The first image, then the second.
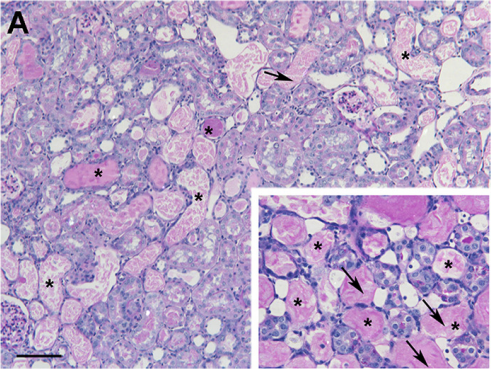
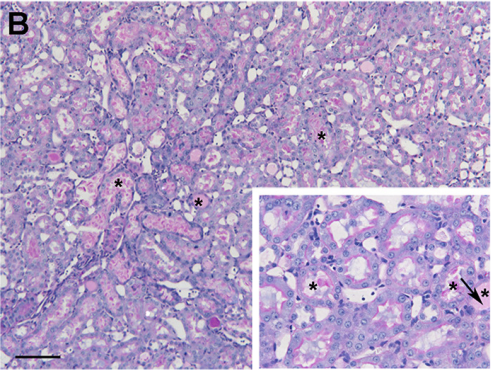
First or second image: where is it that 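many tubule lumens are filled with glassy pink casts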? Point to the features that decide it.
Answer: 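First image: many widened tubules are packed with bright homogeneous pink material.
Hence: the first image.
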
